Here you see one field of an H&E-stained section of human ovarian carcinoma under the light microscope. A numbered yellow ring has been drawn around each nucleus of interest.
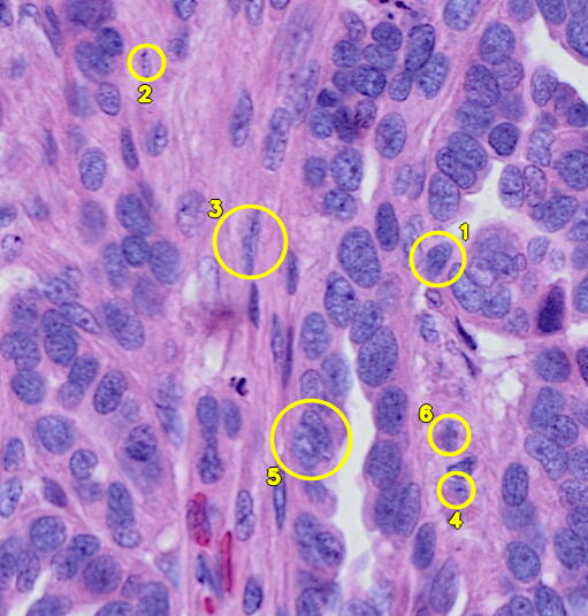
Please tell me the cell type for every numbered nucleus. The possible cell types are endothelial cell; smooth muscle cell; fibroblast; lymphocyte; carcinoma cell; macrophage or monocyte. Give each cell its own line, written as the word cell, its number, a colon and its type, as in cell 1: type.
cell 1: carcinoma cell
cell 2: fibroblast
cell 3: fibroblast
cell 4: fibroblast
cell 5: carcinoma cell
cell 6: fibroblast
